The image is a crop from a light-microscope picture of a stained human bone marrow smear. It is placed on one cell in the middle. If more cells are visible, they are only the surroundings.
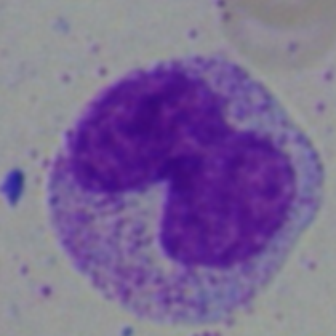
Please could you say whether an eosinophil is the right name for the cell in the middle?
no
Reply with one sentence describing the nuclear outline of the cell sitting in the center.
The cell carries one compact nucleus shaped round, oval or like a kidney.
